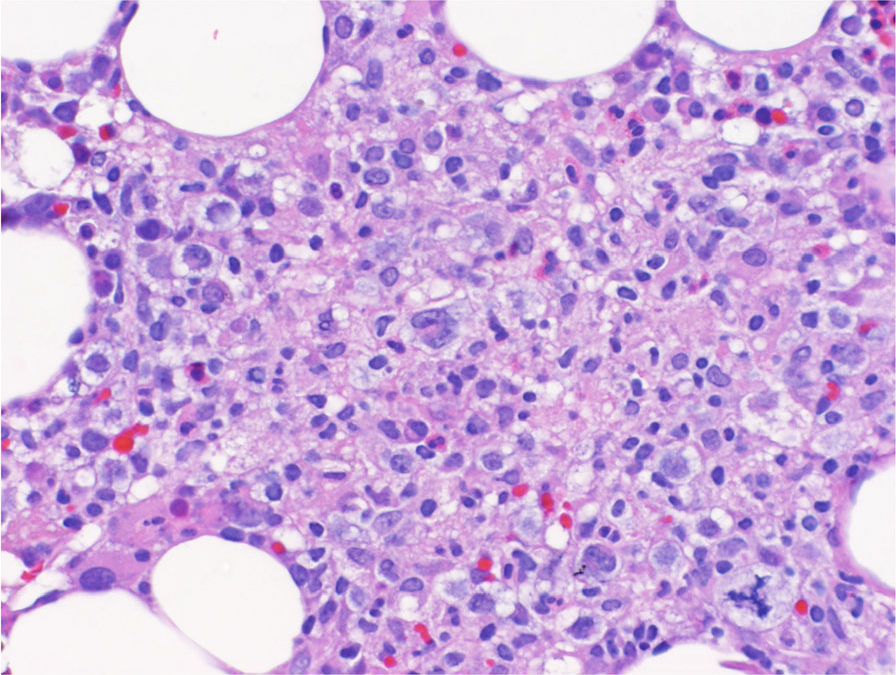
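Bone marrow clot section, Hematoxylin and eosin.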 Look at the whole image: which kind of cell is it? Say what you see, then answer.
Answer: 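Large atypical cells. Near the center, scattered cells are several times larger than the surrounding small round cells. Their nuclei are large and irregular, with visible nucleoli. Their cytoplasm is abundant and pale.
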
